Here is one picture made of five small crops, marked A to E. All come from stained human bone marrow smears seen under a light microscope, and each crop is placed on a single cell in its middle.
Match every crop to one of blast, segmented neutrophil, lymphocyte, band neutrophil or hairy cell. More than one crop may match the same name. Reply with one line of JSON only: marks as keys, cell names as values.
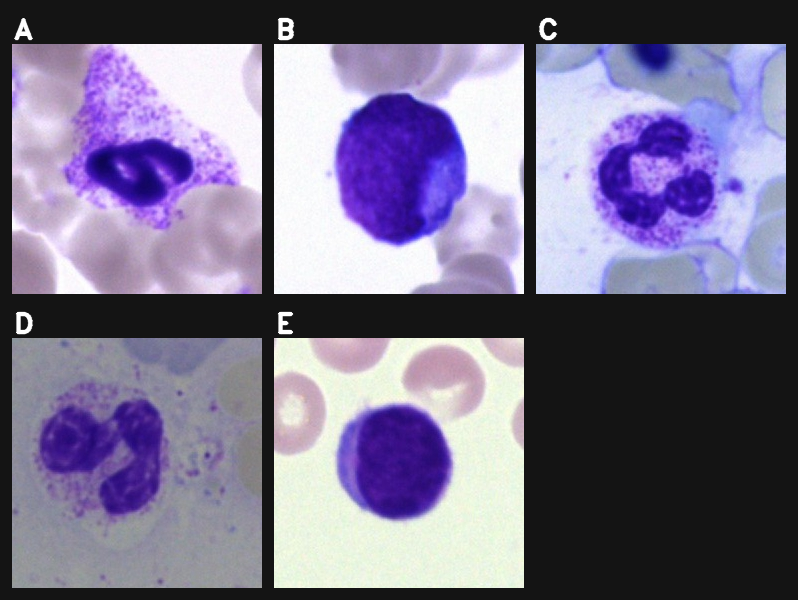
{"A": "segmented neutrophil", "B": "blast", "C": "segmented neutrophil", "D": "segmented neutrophil", "E": "lymphocyte"}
